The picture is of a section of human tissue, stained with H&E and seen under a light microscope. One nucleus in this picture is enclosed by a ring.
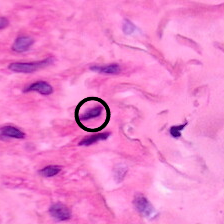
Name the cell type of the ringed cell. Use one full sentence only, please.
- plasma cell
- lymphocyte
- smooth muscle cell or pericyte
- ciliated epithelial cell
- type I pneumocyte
In the stained section, the ringed cell is a smooth muscle cell or pericyte.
